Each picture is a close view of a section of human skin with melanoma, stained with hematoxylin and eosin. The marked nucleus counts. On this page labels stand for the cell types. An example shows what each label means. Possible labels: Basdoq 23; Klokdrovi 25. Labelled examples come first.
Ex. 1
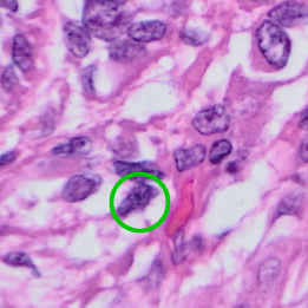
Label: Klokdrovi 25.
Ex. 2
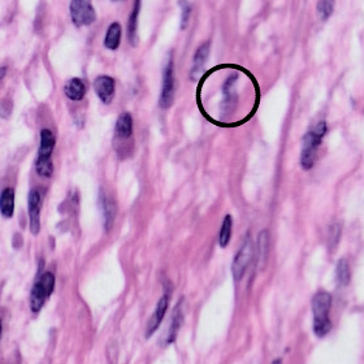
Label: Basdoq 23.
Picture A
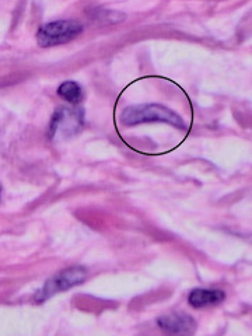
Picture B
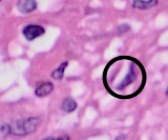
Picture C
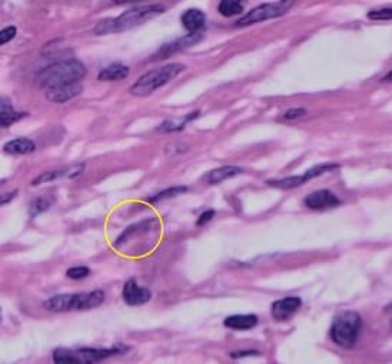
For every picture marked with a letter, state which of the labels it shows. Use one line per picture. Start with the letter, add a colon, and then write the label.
A: Basdoq 23.
B: Basdoq 23.
C: Basdoq 23.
